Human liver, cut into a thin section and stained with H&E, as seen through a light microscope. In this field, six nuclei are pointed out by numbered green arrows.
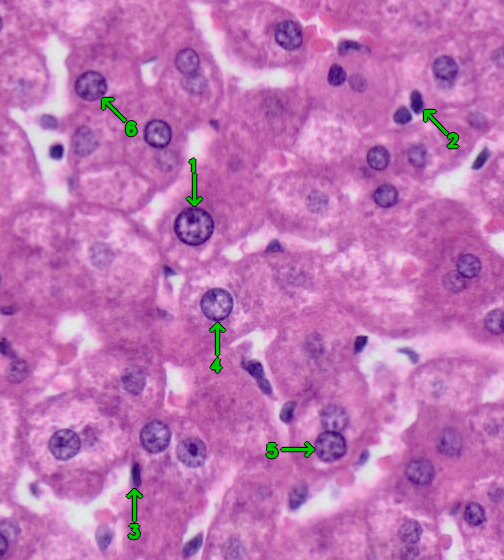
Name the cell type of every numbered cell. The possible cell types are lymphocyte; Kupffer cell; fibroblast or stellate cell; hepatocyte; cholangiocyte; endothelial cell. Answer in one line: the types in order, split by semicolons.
hepatocyte; lymphocyte; fibroblast or stellate cell; hepatocyte; hepatocyte; hepatocyte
